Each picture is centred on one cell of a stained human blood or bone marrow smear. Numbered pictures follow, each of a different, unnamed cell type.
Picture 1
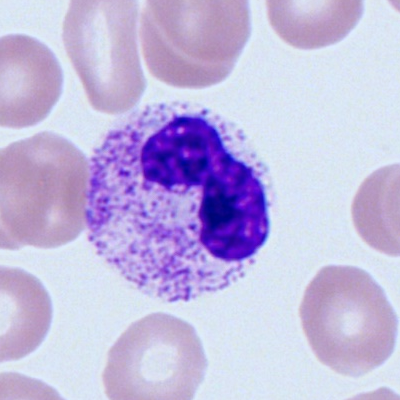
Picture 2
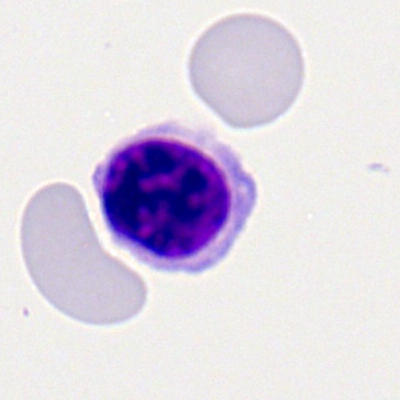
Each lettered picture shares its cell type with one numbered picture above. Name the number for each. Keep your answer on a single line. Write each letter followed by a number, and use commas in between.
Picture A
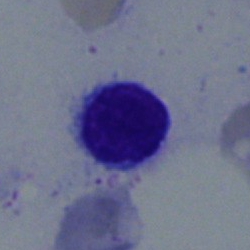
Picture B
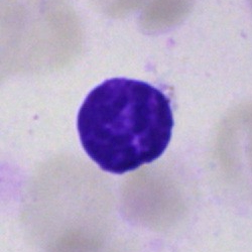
A 2, B 2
